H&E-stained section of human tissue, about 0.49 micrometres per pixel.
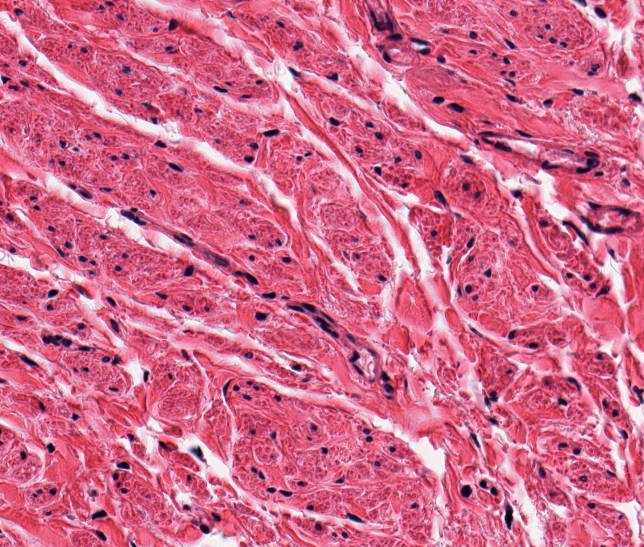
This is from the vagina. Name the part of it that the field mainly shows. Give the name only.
smooth muscle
